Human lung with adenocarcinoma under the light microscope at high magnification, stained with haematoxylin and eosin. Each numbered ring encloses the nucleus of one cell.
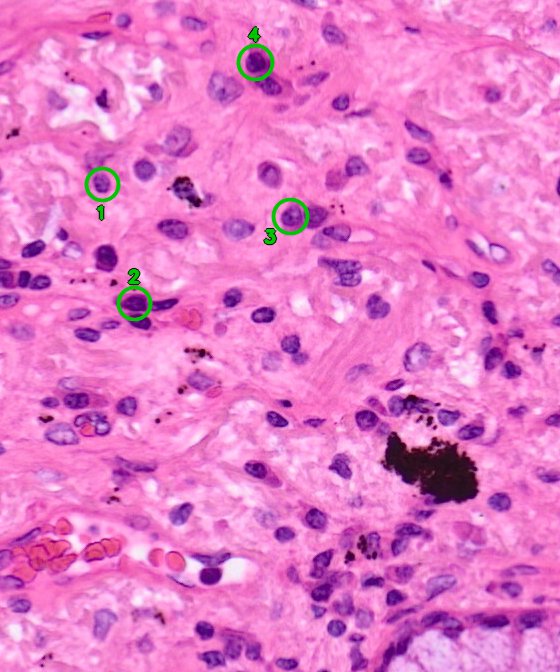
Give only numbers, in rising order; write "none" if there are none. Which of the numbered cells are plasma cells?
2, 3, 4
